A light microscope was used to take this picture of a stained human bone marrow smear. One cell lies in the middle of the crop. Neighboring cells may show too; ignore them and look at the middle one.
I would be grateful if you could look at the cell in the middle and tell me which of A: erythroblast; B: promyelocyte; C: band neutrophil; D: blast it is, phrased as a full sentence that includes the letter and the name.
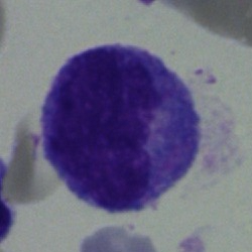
With the cell in the middle being a promyelocyte, option B is the correct choice.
